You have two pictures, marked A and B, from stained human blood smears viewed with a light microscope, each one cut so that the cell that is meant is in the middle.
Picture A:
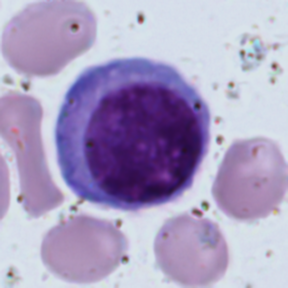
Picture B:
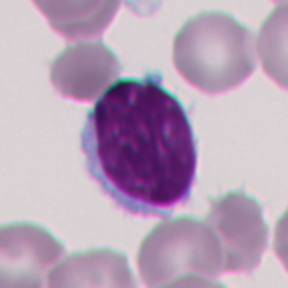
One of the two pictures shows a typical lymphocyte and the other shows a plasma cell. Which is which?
A: plasma cell
B: typical lymphocyte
